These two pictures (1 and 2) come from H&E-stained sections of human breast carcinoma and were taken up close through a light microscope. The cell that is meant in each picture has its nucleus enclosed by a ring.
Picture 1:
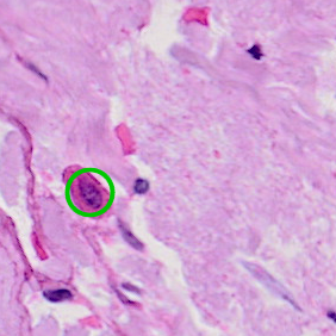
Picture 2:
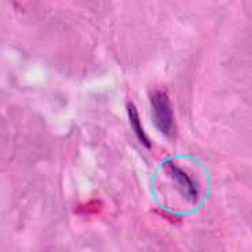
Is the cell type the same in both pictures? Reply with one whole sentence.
No, they differ: the cell is a mast cell in picture 1 and a fibroblast in picture 2.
